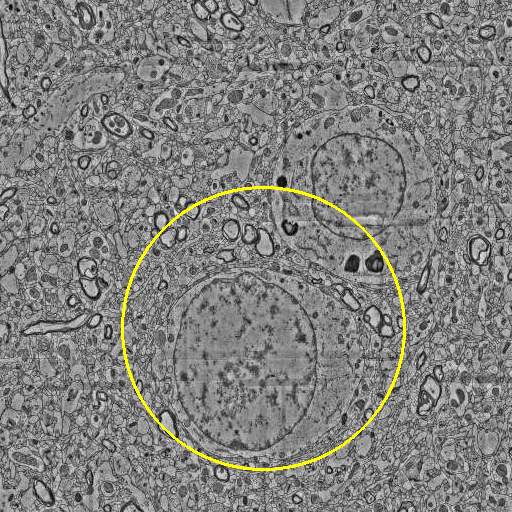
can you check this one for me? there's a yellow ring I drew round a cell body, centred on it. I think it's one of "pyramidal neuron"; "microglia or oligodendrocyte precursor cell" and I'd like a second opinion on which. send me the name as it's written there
pyramidal neuron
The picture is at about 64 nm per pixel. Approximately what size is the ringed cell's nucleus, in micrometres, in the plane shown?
The nucleus is approximately 11 micrometers long by 9 micrometers wide in this plane.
